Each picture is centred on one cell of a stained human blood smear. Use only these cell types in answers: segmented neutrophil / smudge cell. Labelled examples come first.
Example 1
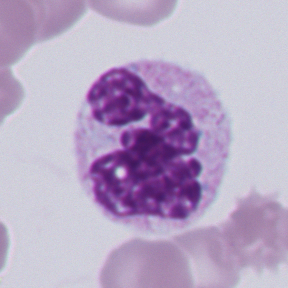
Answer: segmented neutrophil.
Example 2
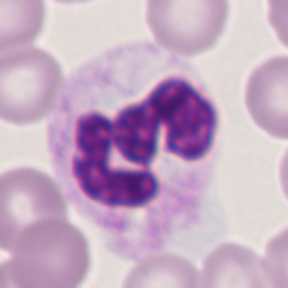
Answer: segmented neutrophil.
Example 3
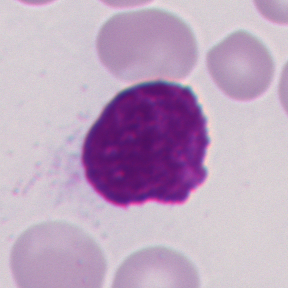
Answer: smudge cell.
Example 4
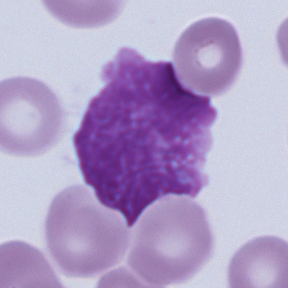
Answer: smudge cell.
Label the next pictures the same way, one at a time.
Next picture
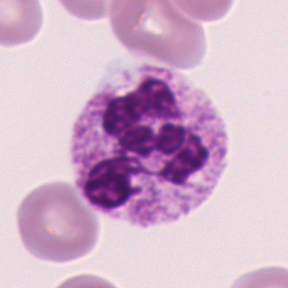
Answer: segmented neutrophil.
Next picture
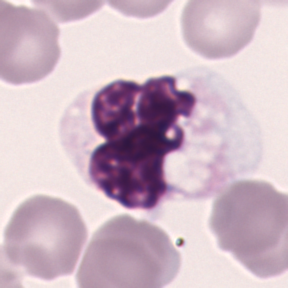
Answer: segmented neutrophil.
